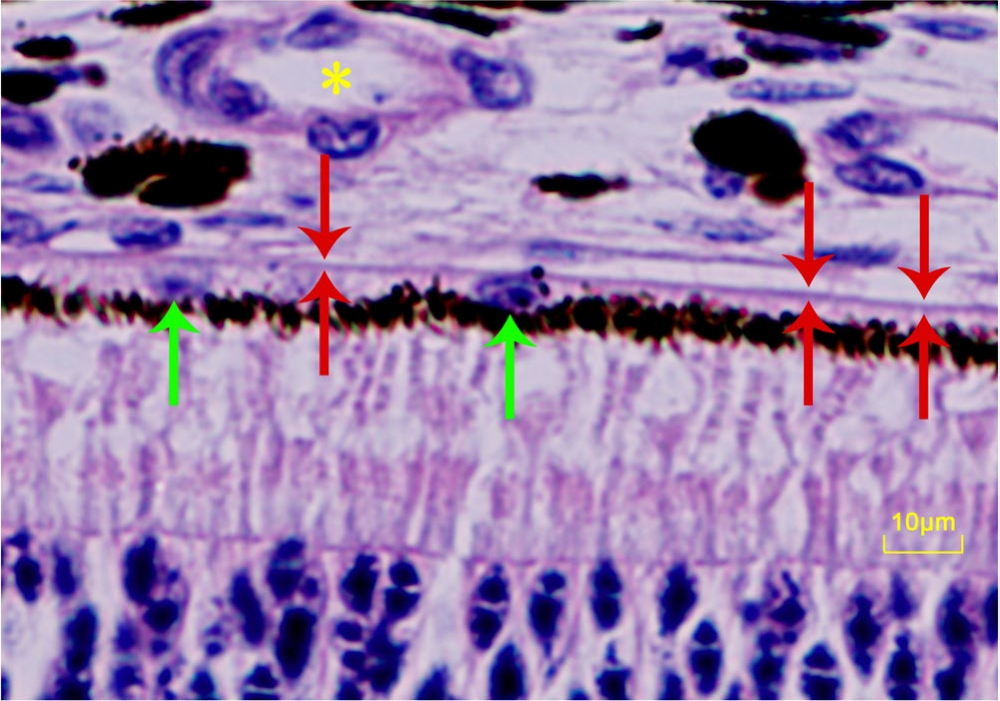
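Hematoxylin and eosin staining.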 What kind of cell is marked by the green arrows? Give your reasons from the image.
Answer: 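The arrows point to a continuous single row of cells packed with dark brown-black granules. The row lies directly over pale, vertically striated photoreceptor outer segments. Below the striated layer are dense dark-blue nuclei. So: retinal pigmented epithelium cells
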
